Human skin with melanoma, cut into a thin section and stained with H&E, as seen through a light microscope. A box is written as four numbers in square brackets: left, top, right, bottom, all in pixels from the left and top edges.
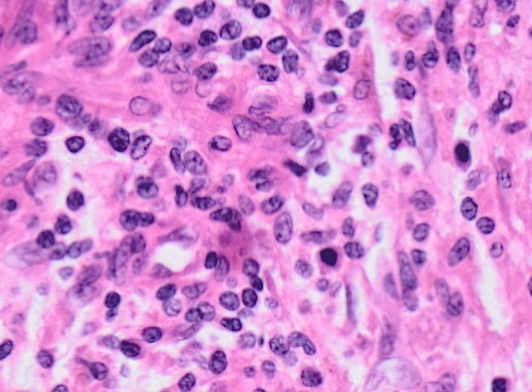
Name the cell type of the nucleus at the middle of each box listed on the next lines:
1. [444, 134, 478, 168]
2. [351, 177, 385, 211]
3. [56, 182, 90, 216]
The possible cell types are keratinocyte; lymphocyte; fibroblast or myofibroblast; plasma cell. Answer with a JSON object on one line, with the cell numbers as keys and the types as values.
{"1": "plasma cell", "2": "lymphocyte", "3": "lymphocyte"}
